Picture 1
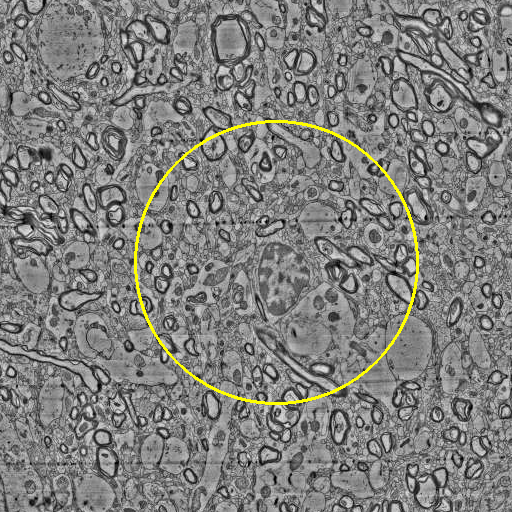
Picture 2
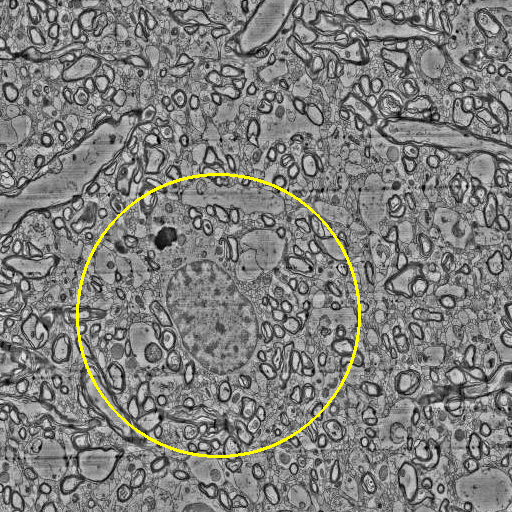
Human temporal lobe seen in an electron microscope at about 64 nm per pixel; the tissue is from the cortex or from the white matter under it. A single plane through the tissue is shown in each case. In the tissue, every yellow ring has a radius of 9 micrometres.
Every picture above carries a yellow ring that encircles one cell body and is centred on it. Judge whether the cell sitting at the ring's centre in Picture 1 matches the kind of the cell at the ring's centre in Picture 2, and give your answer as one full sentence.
No, the cells centred in the rings of Pictures 1 and 2 belong to two kinds.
